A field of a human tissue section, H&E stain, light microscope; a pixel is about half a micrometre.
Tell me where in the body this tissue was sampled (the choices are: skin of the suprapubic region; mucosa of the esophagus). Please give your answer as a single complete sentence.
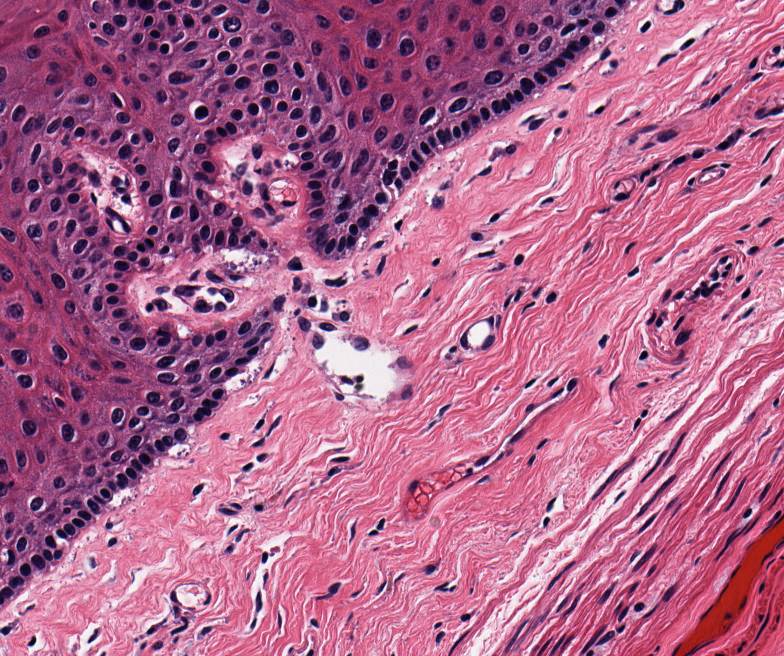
This material was sampled from the mucosa of the esophagus.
